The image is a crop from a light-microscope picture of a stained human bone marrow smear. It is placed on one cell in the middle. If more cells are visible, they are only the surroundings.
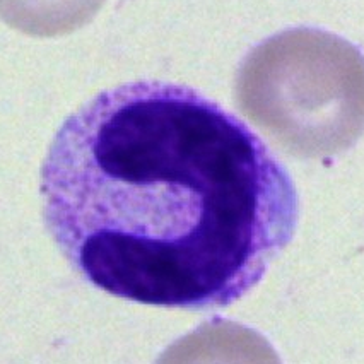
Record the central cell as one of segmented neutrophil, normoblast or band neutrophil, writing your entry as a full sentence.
Here the centrally located cell is a band neutrophil.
